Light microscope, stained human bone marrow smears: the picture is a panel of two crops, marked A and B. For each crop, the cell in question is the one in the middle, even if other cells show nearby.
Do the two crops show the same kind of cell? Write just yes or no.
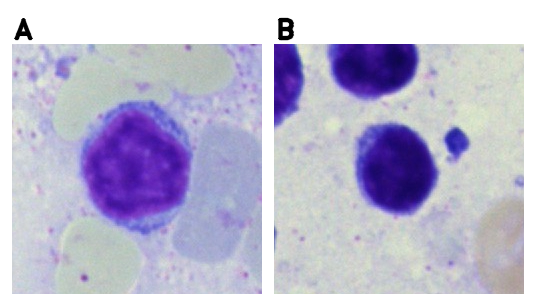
yes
